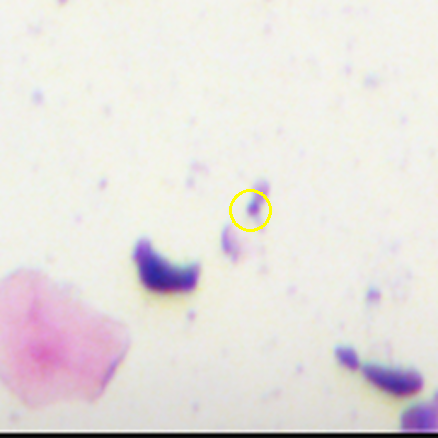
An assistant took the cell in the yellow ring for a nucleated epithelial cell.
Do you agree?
I disagree, it is a leukocyte.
